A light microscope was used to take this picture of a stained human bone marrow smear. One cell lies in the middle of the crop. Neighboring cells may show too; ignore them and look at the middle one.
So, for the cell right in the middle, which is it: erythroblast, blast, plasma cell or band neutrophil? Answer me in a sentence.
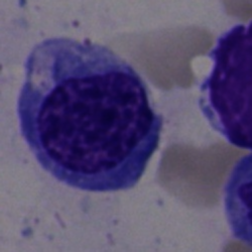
This particular crop is centered on an erythroblast.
